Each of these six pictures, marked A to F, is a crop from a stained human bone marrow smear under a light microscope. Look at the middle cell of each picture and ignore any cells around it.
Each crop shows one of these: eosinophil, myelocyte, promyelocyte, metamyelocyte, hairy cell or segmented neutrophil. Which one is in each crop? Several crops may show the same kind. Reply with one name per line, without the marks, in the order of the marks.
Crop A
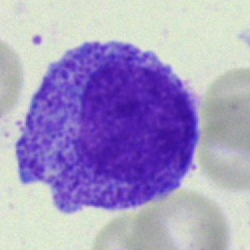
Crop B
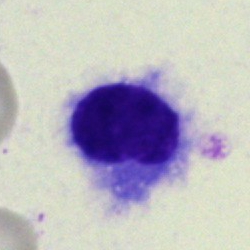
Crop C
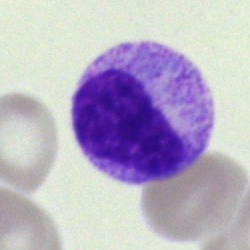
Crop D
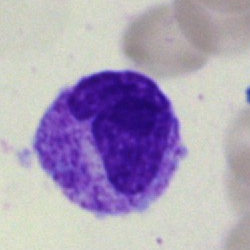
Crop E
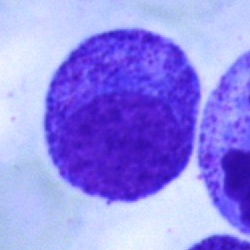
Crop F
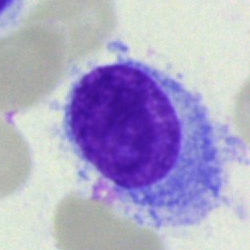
promyelocyte
hairy cell
myelocyte
metamyelocyte
promyelocyte
hairy cell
